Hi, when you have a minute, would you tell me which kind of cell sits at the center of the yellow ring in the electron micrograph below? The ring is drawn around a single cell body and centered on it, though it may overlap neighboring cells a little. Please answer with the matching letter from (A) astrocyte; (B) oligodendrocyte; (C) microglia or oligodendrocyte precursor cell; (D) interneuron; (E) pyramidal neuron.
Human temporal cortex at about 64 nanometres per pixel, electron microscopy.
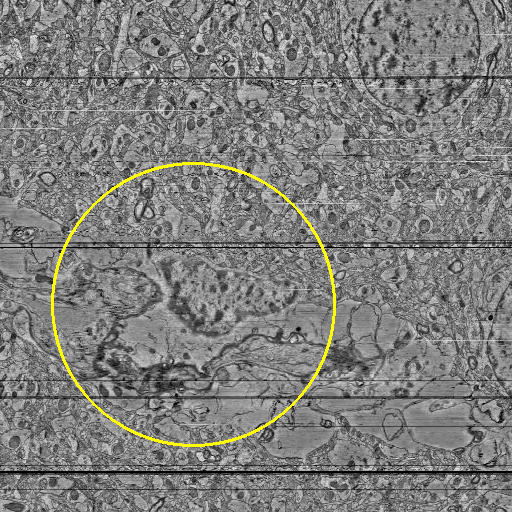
C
